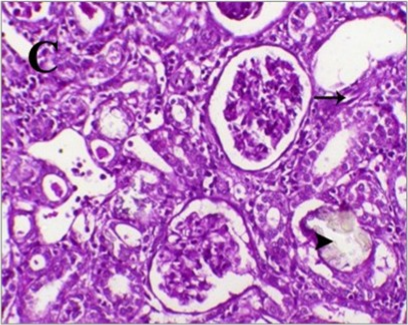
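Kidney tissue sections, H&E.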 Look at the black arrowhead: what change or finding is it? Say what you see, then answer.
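Tubular urolithiasis. A tubule lumen holds pale grey, crystal-like material. The deposit lies inside a ring of tubular epithelium.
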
